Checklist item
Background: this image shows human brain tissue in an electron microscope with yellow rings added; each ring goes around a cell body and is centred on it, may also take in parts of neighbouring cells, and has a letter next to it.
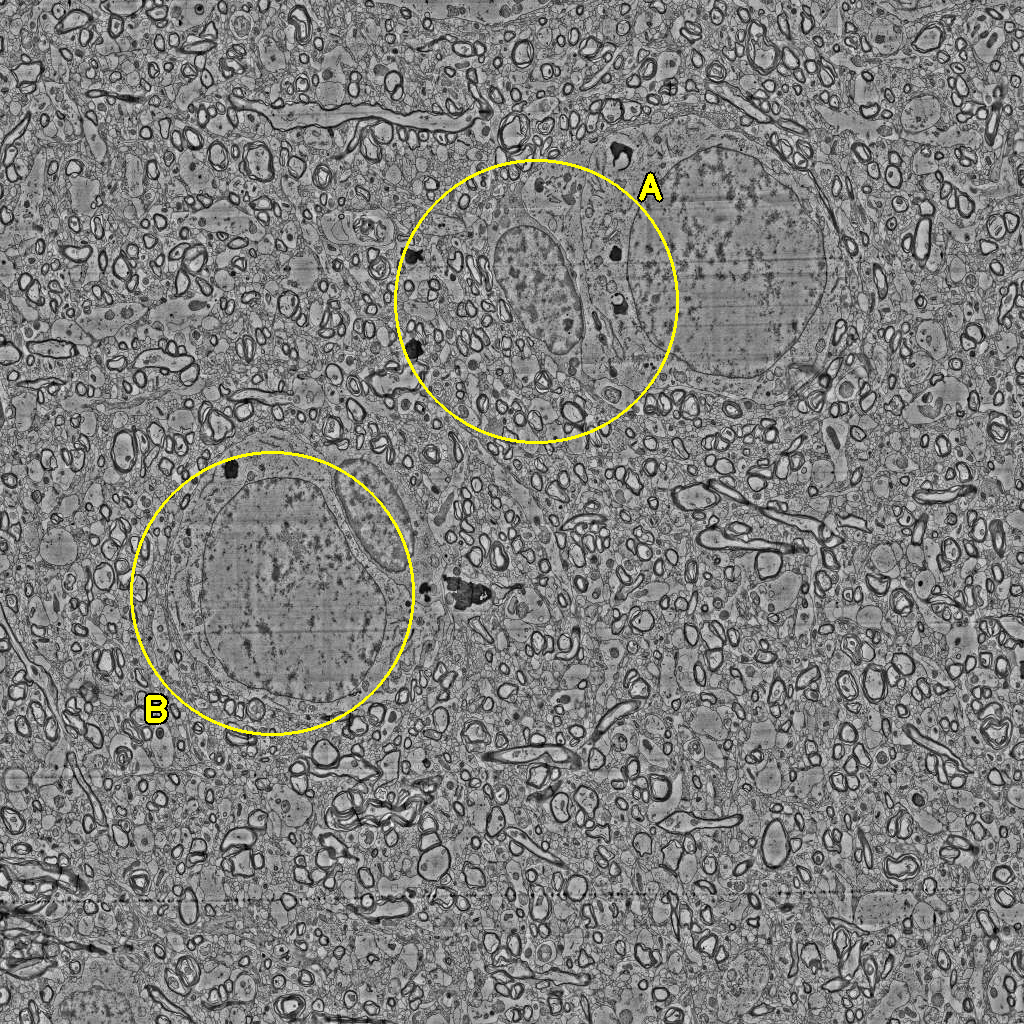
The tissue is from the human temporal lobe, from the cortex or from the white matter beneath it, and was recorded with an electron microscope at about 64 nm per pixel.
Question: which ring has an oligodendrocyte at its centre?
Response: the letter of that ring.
A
